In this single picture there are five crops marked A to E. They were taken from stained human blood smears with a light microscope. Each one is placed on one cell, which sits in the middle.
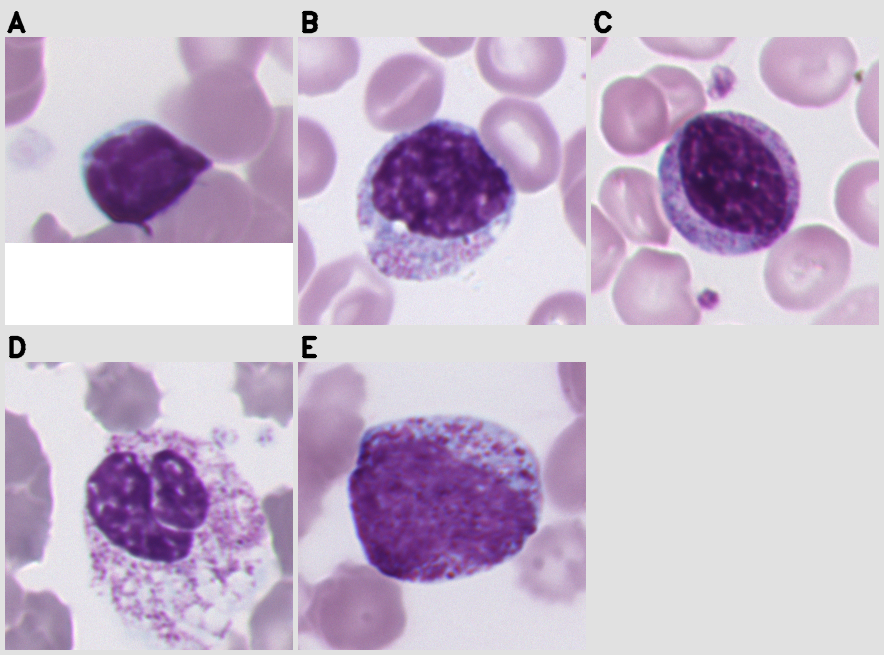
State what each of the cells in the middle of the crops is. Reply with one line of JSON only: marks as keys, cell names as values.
{"A": "typical lymphocyte", "B": "myelocyte", "C": "myelocyte", "D": "segmented neutrophil", "E": "myelocyte"}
